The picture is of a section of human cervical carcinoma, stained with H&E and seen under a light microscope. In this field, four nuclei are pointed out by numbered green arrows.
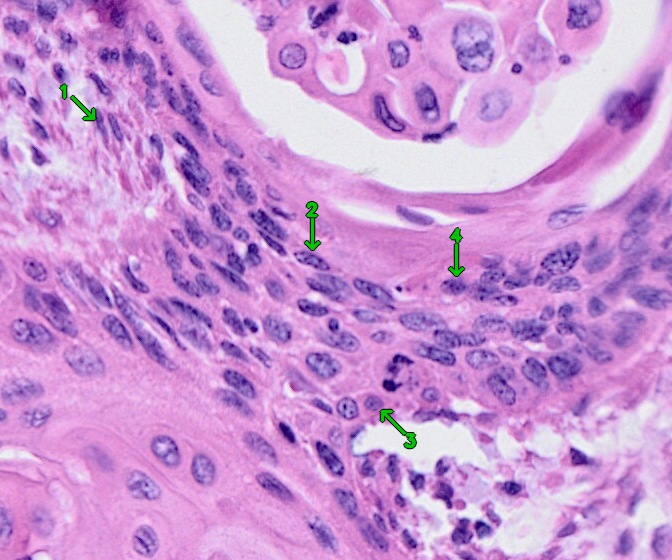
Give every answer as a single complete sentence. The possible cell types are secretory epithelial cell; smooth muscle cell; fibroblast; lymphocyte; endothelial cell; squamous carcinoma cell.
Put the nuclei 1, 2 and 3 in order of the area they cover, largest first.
From largest to smallest, the order is 2, 1, 3.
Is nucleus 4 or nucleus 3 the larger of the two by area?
The larger nucleus is 4, at roughly 2 times the area of 3.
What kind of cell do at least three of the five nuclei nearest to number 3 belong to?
Around number 3, most of the five nearest nuclei are those of squamous carcinoma cells.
